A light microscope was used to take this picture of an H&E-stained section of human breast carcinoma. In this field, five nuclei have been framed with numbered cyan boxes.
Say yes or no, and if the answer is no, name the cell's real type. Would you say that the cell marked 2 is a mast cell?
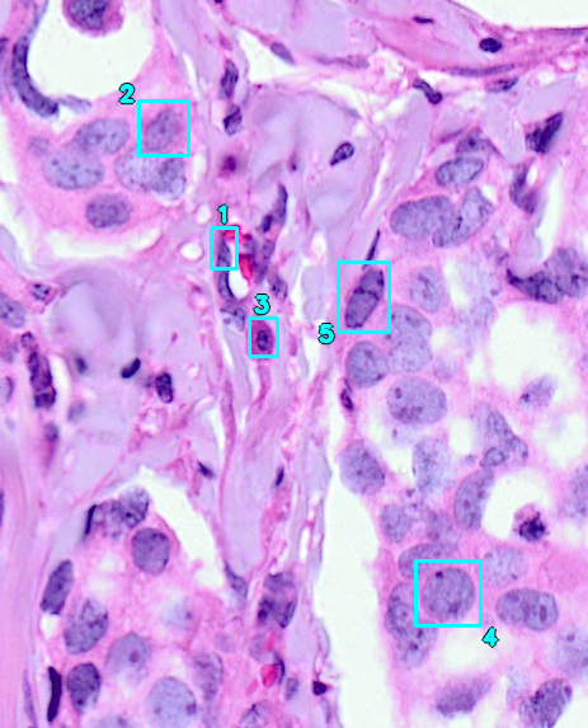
No, it is a carcinoma cell.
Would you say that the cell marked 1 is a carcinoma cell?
No, it is an endothelial cell.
